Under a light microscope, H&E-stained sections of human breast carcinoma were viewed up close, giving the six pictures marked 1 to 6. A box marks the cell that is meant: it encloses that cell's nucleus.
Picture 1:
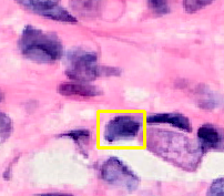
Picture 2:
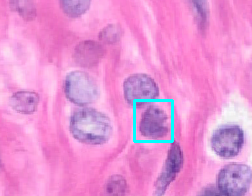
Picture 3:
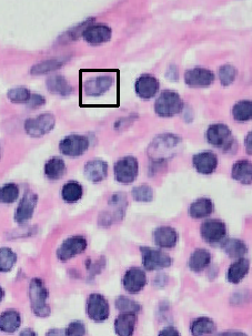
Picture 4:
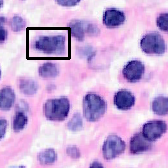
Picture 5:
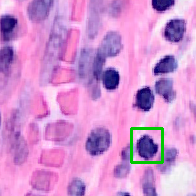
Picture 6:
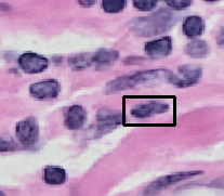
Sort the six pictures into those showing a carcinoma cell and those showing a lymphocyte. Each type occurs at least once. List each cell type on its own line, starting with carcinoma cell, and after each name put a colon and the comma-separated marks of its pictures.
carcinoma cell: 1, 2
lymphocyte: 3, 4, 5, 6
